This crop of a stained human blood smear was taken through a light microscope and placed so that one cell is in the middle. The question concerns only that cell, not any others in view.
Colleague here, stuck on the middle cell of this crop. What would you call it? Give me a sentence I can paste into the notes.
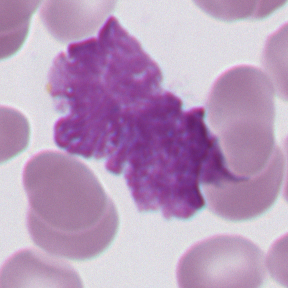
In the central position of this crop, the cell is a smudge cell.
